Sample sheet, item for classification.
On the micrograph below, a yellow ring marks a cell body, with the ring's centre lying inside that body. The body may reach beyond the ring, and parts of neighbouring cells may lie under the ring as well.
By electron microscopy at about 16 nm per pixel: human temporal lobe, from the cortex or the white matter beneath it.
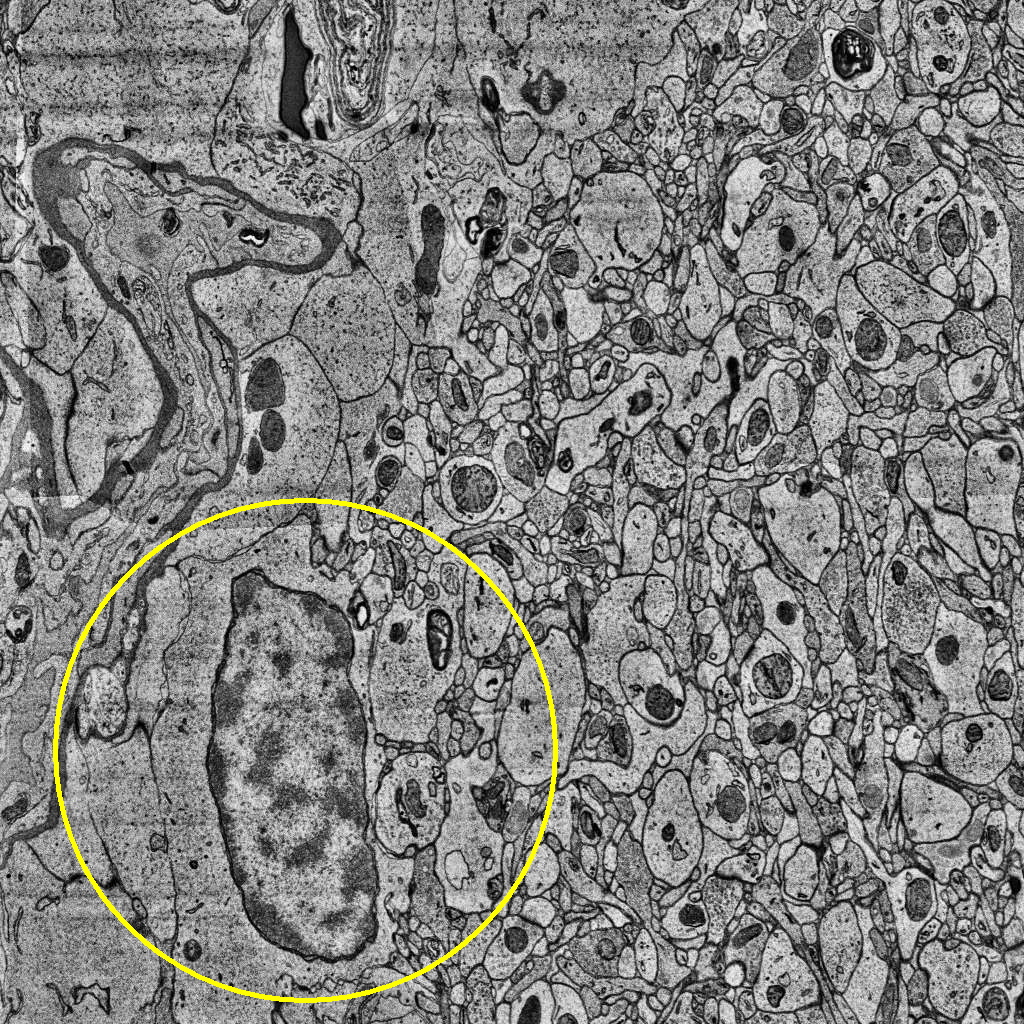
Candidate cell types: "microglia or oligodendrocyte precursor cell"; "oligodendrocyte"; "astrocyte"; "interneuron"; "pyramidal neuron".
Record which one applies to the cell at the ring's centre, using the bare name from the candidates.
microglia or oligodendrocyte precursor cell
